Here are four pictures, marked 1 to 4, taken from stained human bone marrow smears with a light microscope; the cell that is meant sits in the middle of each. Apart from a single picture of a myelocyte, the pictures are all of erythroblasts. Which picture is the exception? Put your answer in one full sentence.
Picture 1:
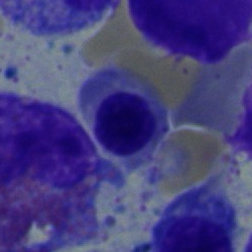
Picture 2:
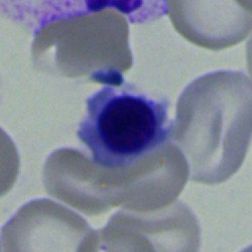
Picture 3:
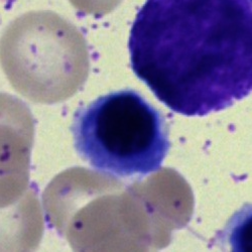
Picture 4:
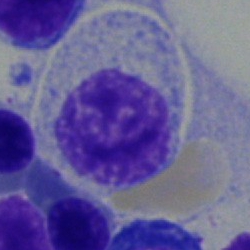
The myelocyte is the one in picture 4.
